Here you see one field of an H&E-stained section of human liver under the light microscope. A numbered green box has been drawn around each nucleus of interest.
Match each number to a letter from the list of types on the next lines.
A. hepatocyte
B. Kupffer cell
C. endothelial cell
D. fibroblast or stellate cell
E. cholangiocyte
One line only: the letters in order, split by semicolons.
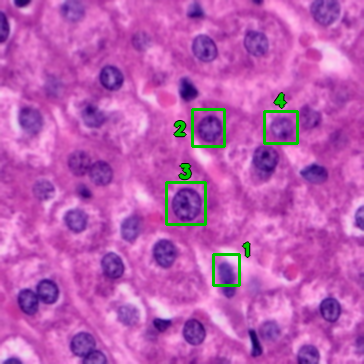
B; A; A; A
